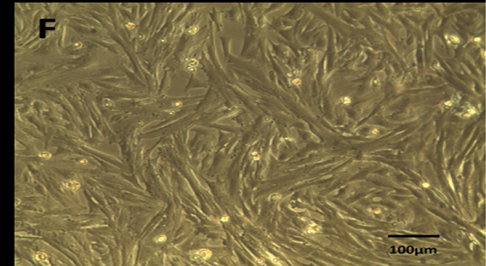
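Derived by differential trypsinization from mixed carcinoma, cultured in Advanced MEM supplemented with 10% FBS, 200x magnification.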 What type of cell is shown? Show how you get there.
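Fibroblasts. Elongated spindle-shaped cells. Cells aligned in parallel streams and bundles.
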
